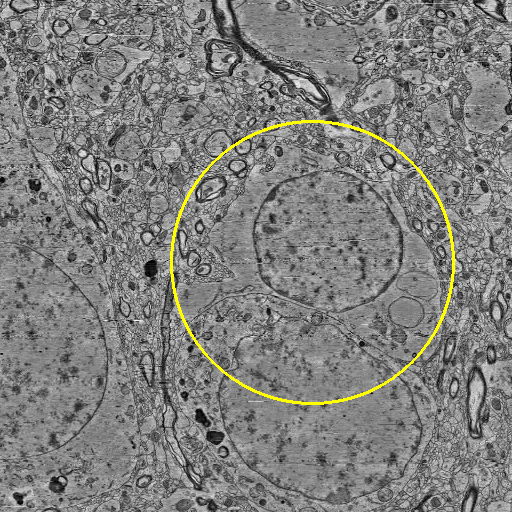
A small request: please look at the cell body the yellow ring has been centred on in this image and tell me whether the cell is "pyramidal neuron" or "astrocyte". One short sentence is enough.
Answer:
The cell marked by the ring is an astrocyte.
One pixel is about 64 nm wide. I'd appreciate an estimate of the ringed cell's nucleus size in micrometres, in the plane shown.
Approximately 10 micrometres across in this plane.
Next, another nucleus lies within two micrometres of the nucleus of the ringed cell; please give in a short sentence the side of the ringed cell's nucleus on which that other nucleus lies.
The other nucleus is situated below it.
